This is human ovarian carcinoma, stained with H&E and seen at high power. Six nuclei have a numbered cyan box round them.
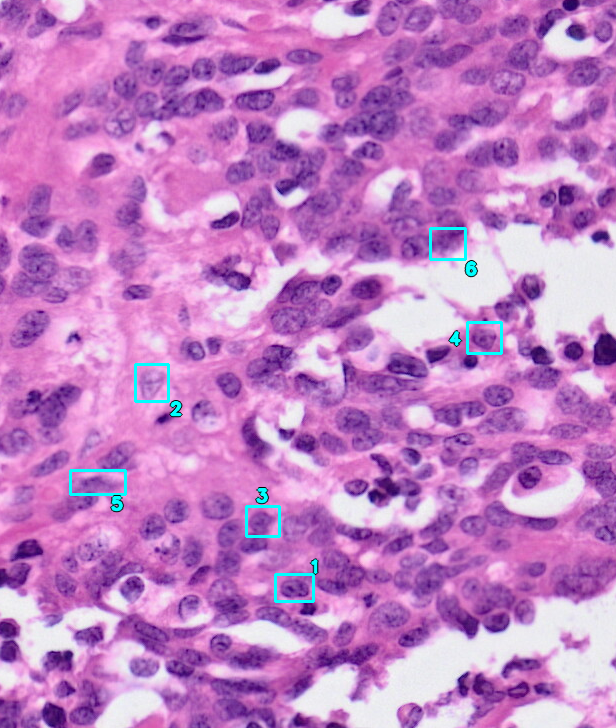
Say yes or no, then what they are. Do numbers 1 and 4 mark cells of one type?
Yes, cells 1 and 4 are both macrophages or monocytes and thus of one type.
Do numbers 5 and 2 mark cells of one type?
No, cell 5 is categorized as an endothelial cell, while cell 2 is categorized as a fibroblast.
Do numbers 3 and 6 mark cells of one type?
Yes, both of cells 3 and 6 are carcinoma cells.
